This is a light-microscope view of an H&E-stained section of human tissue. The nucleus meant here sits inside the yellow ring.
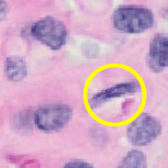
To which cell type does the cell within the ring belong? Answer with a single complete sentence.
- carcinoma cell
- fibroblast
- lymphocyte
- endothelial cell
In the context of this tissue, the cell within the ring is an endothelial cell.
